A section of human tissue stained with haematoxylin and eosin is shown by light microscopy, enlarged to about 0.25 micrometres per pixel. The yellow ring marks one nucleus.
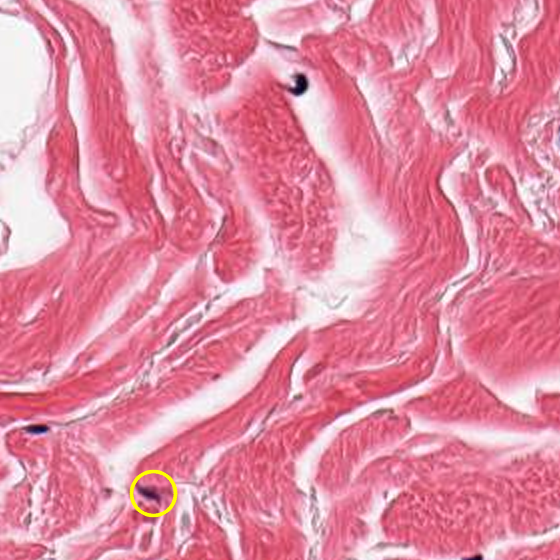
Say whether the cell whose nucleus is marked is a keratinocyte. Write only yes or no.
no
